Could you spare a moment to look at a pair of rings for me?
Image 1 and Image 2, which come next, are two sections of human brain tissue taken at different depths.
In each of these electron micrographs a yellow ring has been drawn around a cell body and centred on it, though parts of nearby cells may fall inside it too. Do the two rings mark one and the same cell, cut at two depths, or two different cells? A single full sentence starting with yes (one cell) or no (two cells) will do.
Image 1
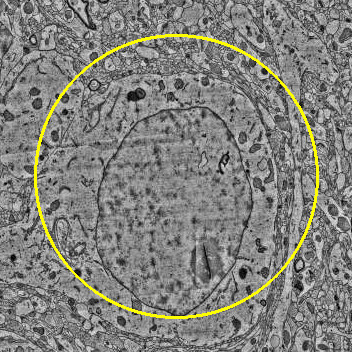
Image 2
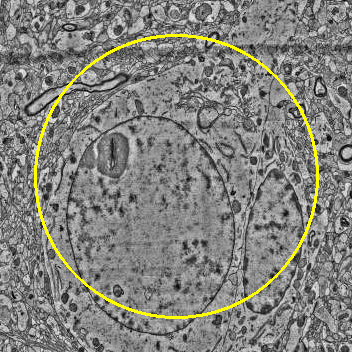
No, the rings mark separate cells, one per ring.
